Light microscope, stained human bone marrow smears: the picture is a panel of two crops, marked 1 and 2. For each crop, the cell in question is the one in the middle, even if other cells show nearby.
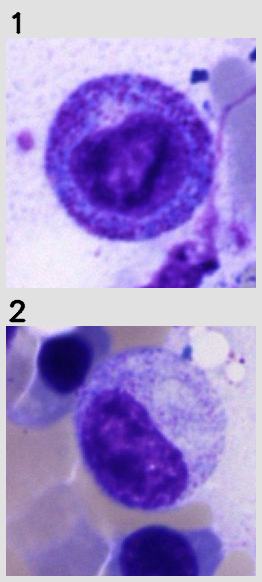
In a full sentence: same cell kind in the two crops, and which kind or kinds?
No, record crop 1 as a promyelocyte and crop 2 as a myelocyte.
